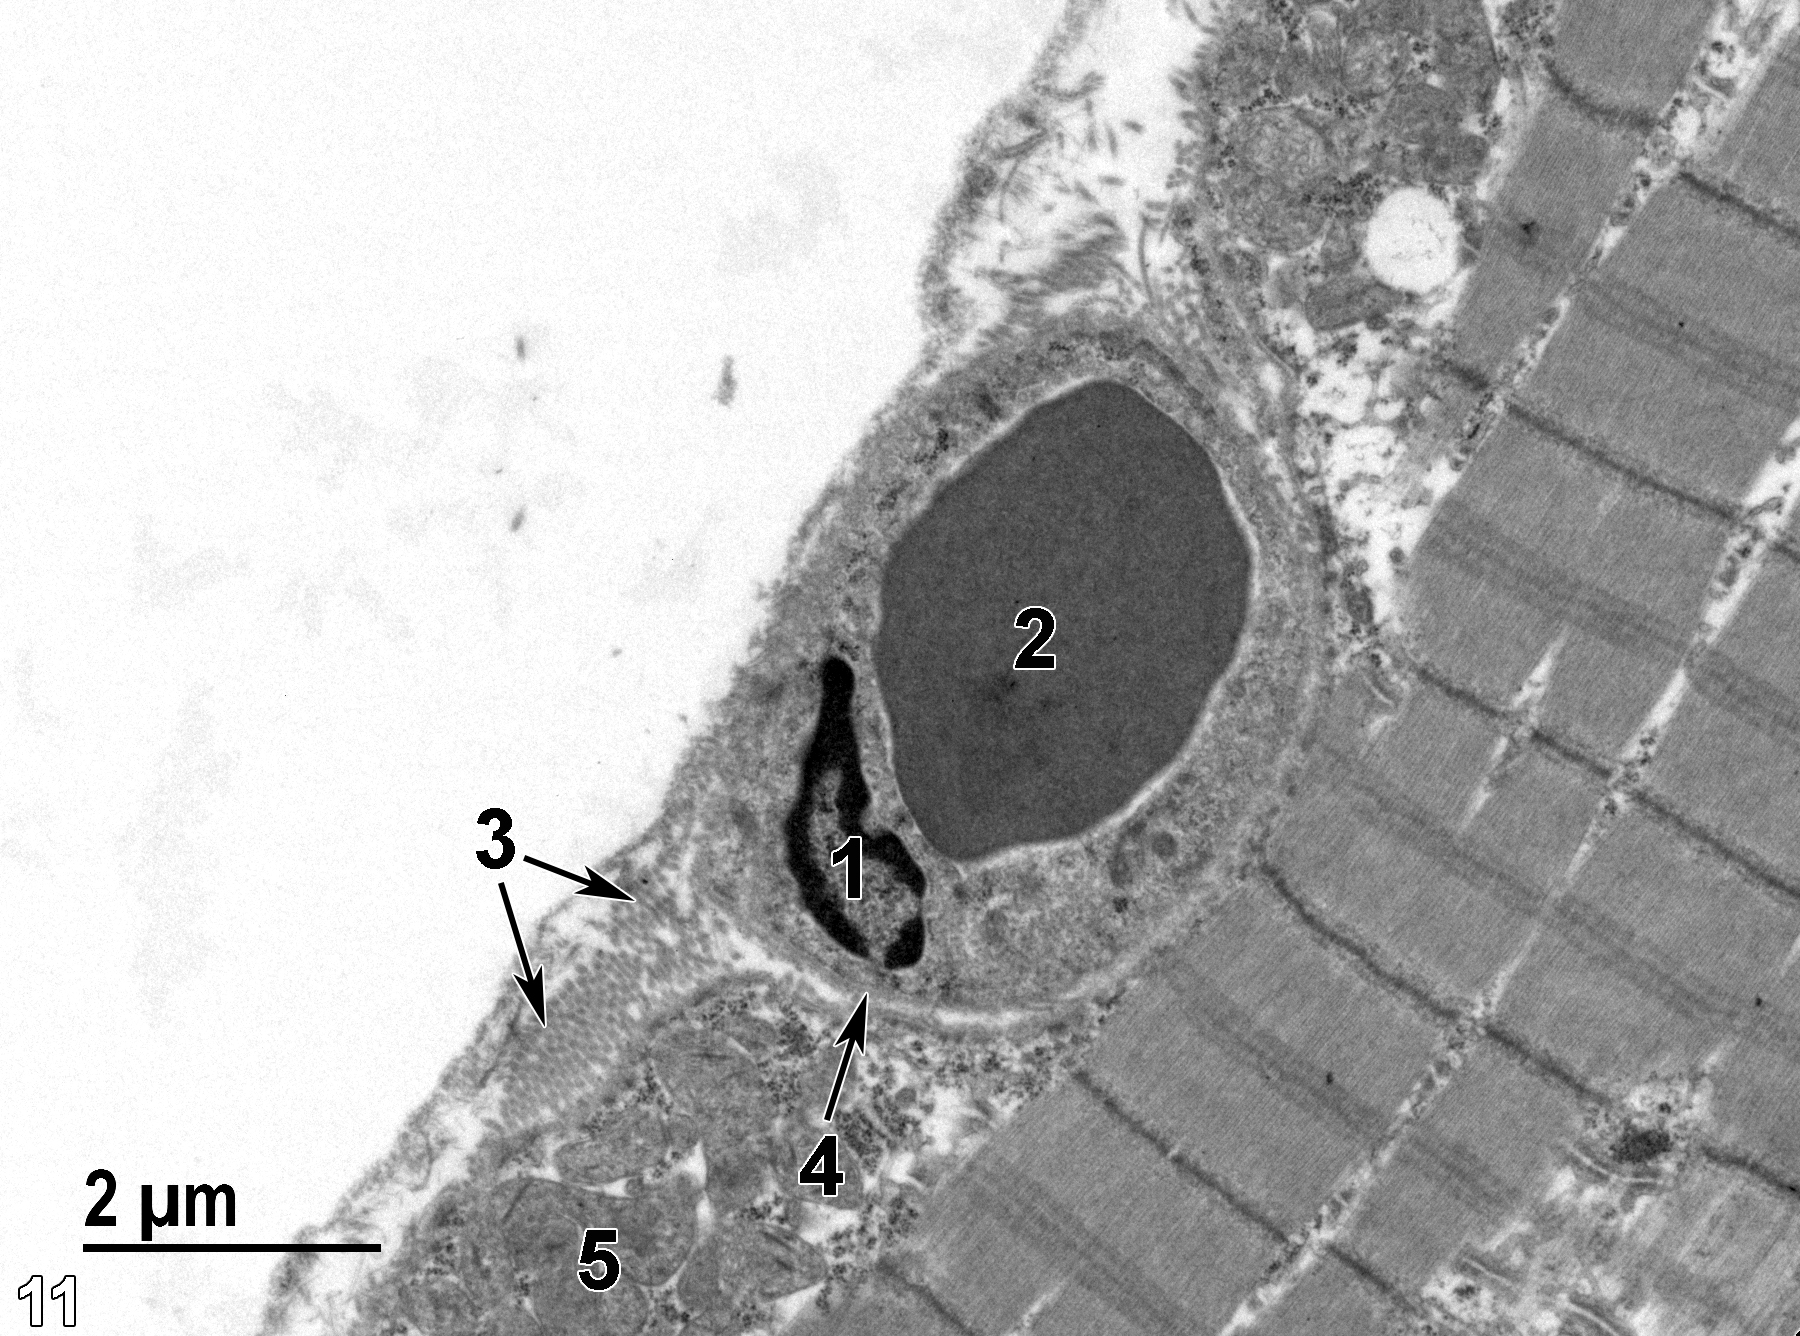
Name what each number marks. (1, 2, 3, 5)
1: endothelial nucleus
2: erythrocyte
3: collagen
5: mitochondria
